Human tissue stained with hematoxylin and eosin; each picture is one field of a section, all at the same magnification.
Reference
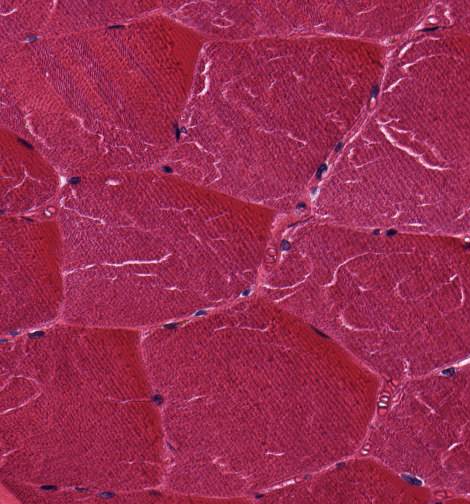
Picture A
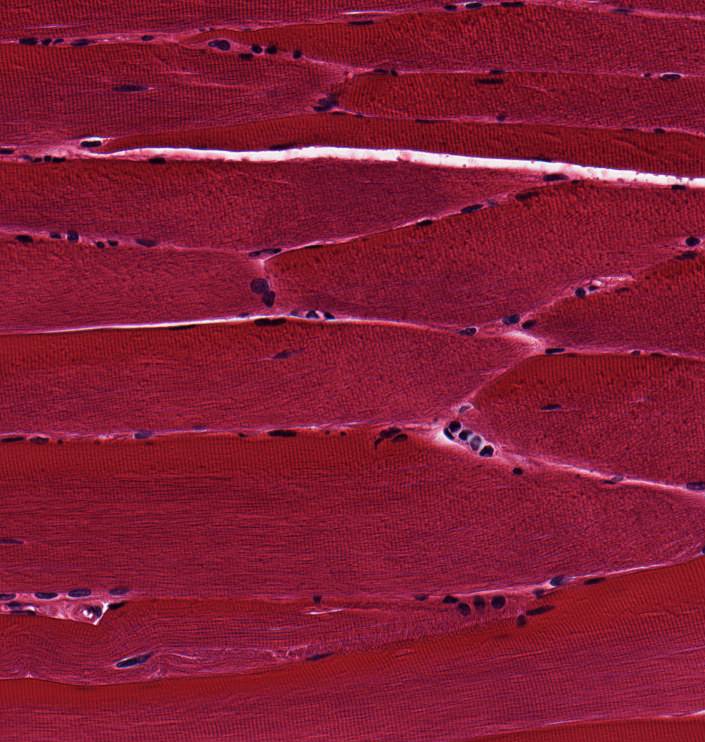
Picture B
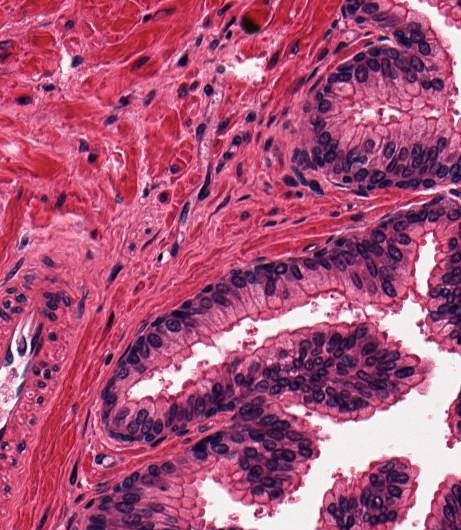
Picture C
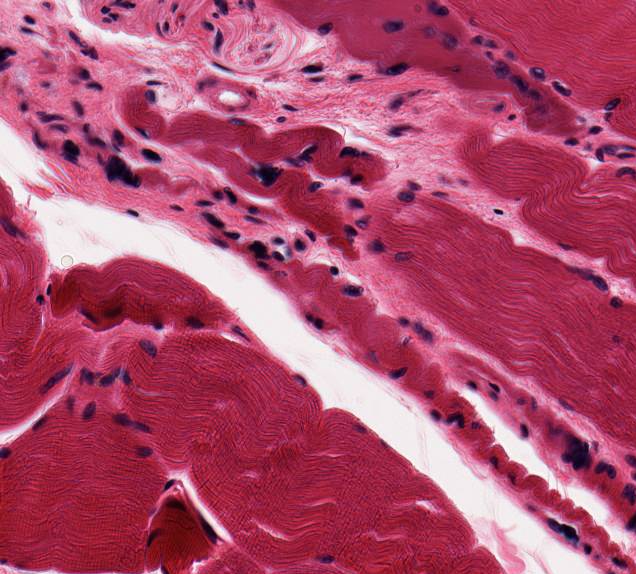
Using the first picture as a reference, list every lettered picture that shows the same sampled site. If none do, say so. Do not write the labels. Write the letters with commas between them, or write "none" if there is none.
A, C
